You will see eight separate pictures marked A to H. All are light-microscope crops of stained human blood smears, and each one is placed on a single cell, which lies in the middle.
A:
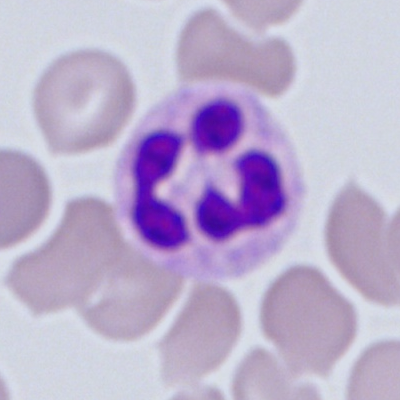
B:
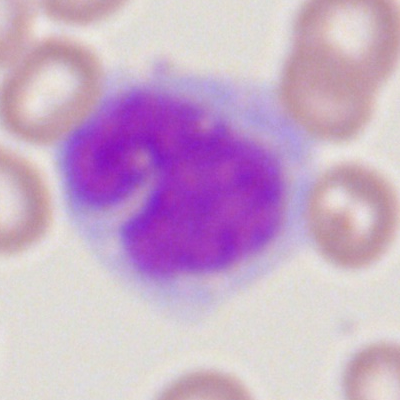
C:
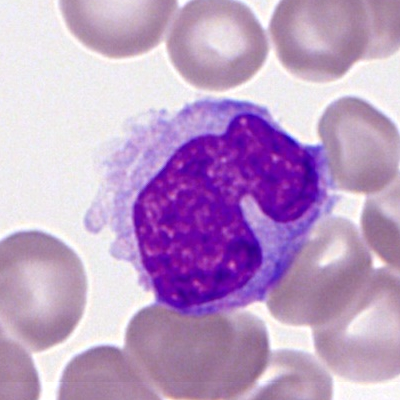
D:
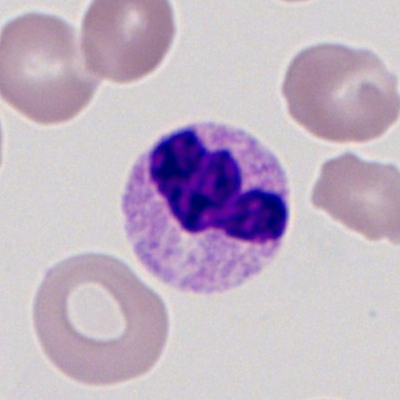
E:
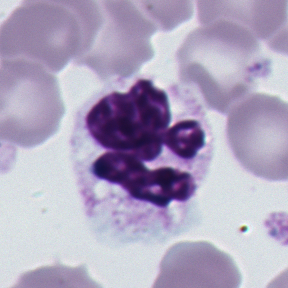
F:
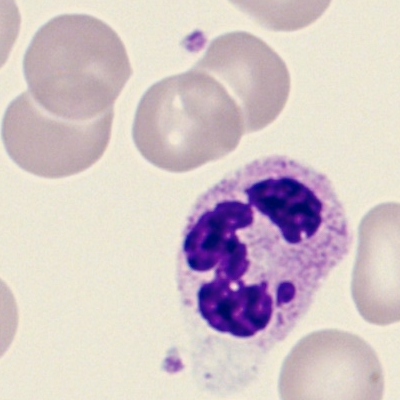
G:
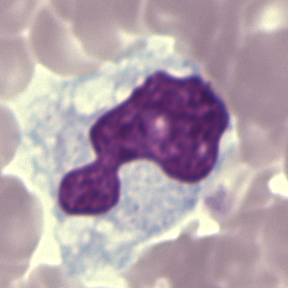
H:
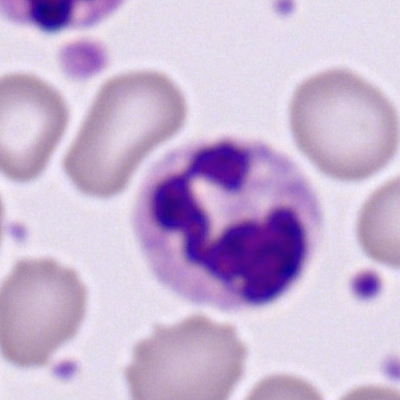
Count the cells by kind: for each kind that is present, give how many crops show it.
neutrophil: 5
monocyte: 3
